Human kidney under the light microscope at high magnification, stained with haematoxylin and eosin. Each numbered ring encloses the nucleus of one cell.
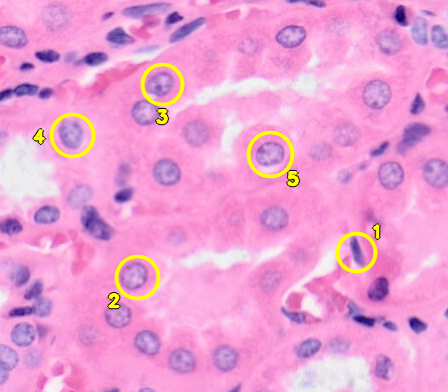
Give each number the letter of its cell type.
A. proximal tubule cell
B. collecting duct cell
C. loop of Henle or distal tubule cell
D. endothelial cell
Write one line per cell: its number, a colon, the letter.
1: D
2: A
3: A
4: C
5: A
